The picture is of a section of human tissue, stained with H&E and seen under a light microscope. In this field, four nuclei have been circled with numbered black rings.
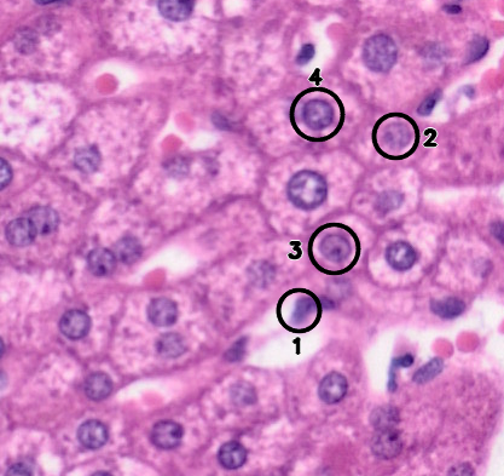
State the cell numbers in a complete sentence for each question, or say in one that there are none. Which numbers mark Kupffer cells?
Only cell 1 qualifies as a Kupffer cell among the numbered cells.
